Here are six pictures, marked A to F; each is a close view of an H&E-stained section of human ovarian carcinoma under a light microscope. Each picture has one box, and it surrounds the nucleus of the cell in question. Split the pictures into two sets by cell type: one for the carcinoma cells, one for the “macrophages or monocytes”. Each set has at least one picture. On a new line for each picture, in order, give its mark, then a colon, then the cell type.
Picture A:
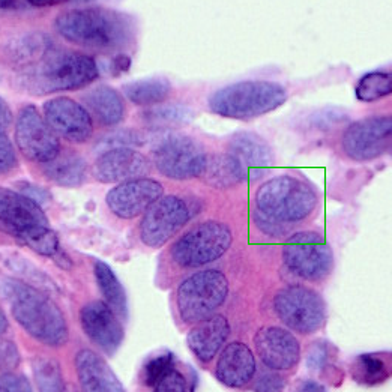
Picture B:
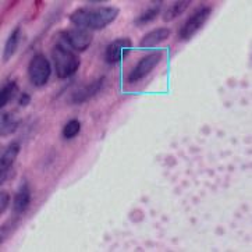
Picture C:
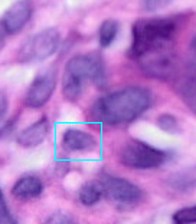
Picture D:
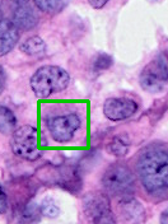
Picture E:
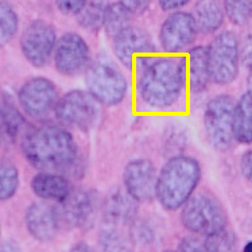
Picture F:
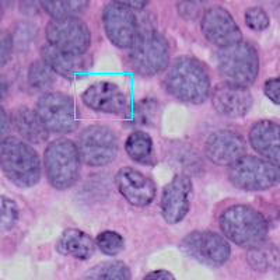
A: carcinoma cell
B: carcinoma cell
C: macrophage or monocyte
D: macrophage or monocyte
E: carcinoma cell
F: macrophage or monocyte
